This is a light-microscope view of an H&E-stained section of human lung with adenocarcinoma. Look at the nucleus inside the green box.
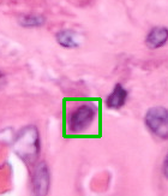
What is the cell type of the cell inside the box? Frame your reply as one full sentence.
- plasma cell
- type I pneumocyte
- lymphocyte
In the context of this tissue, the cell inside the box is a plasma cell.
